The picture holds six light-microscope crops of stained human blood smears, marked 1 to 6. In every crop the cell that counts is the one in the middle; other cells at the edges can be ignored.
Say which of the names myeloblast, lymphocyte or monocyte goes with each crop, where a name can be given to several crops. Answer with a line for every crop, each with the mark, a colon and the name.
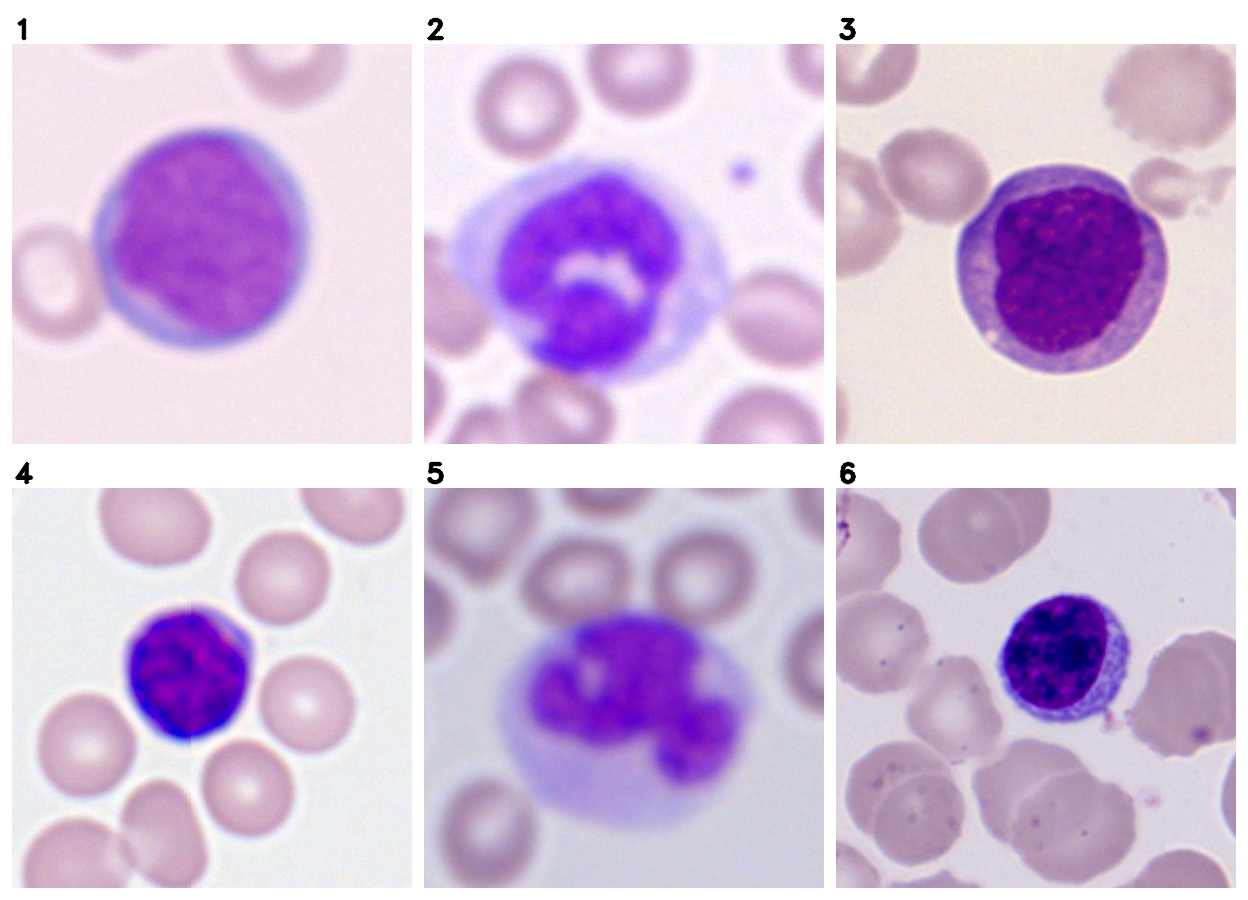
1: myeloblast
2: monocyte
3: monocyte
4: lymphocyte
5: monocyte
6: lymphocyte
